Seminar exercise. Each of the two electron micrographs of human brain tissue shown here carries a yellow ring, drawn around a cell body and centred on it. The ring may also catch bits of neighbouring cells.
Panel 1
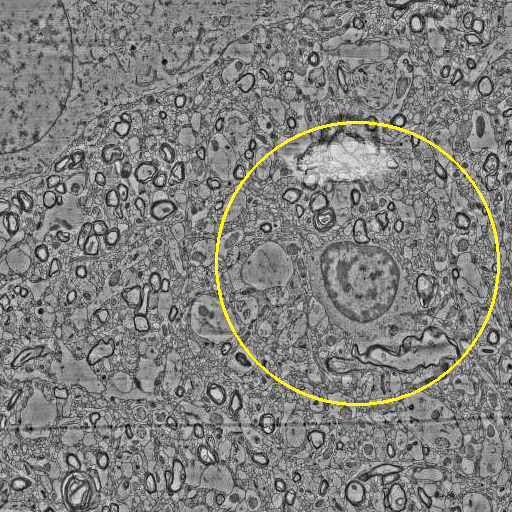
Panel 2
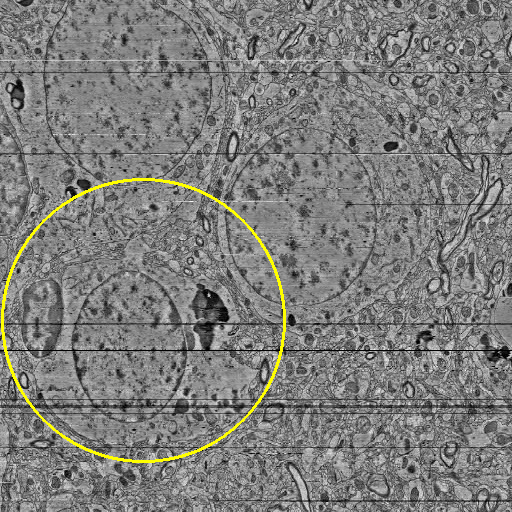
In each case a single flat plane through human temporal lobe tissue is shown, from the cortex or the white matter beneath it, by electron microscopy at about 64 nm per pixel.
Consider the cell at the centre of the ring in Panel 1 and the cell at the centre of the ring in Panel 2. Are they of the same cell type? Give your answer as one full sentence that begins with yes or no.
No, the two cells are of two types.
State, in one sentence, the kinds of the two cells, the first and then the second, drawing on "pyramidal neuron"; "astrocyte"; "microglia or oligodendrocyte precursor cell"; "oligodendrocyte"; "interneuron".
The ring in the second picture is centred on an astrocyte, the ring in the first on an oligodendrocyte.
